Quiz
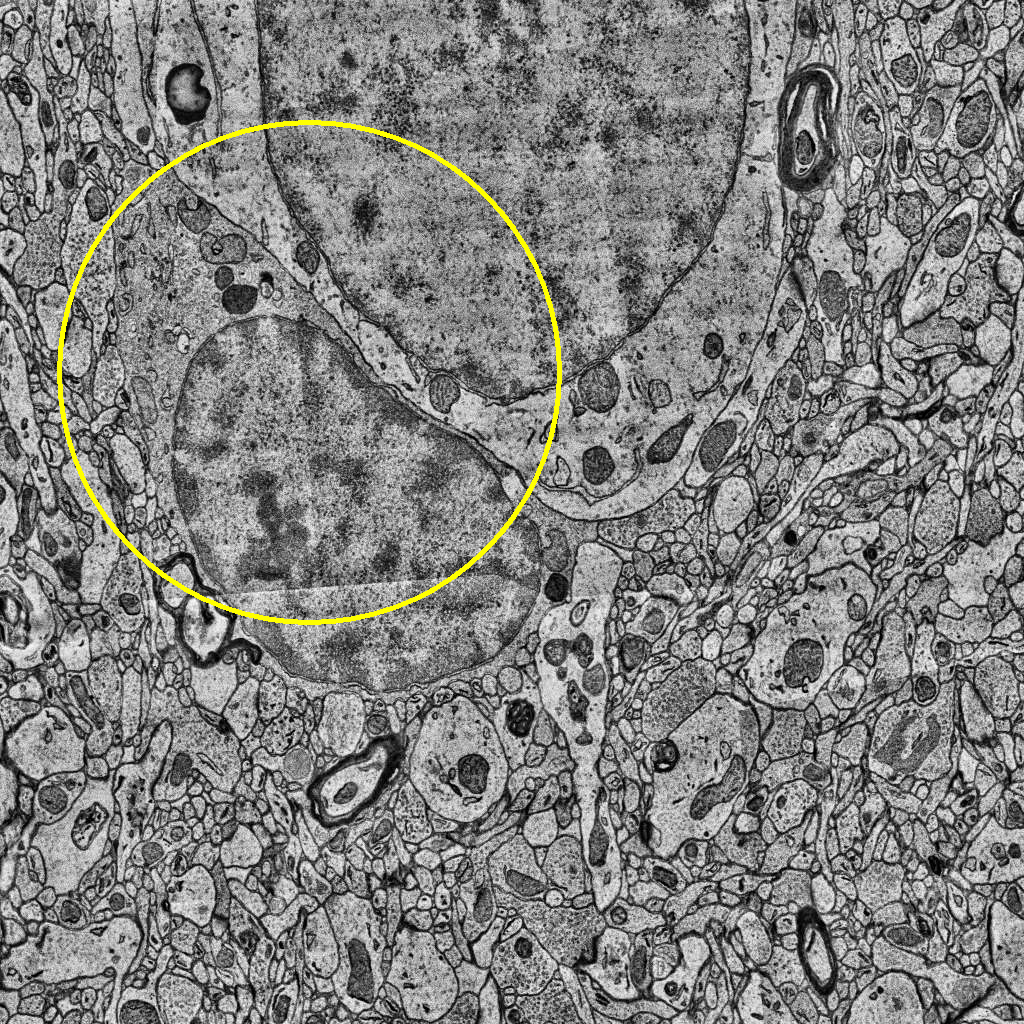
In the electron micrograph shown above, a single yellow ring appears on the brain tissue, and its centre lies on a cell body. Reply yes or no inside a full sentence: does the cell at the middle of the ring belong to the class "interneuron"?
No, the cell lying at the ring's centre in the picture belongs to a different class.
